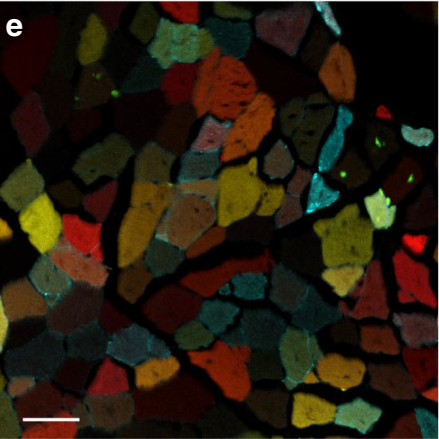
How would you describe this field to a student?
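This is a cross-section of muscle fibers, seen as tightly packed polygonal profiles separated by thin dark seams. The fibers take on different colours, from yellow and orange to red and cyan, and differ in brightness, so neighbouring fibers stand apart. A few small bright green dots lie scattered among them.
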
